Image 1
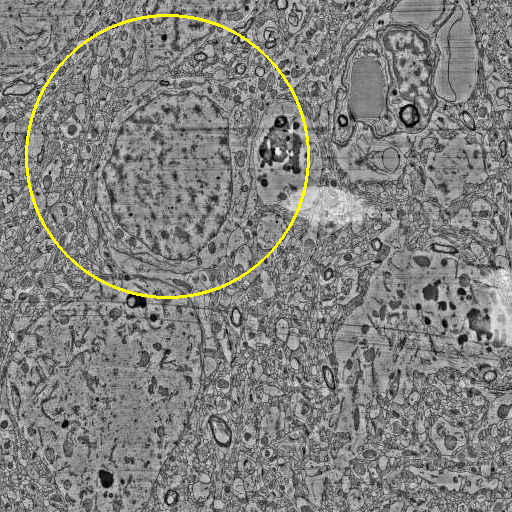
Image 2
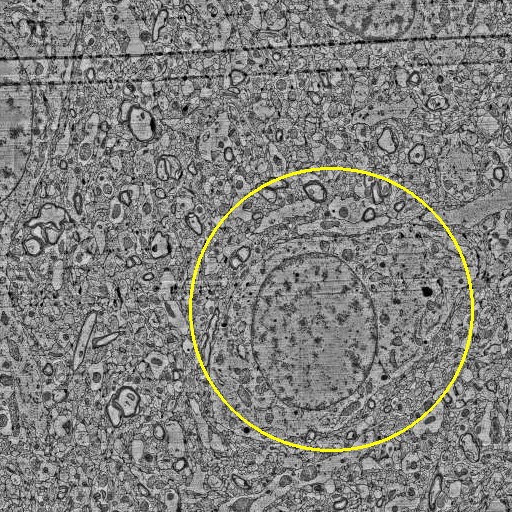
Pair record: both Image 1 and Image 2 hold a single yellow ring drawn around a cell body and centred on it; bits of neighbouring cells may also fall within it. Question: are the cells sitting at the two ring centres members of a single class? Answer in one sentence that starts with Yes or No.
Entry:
Yes, both ring-centre cells in Image 1 and Image 2 are members of one class.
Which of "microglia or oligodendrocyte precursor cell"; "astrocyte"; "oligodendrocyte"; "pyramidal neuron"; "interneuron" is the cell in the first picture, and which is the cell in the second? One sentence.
In each picture the ringed cell is an interneuron.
